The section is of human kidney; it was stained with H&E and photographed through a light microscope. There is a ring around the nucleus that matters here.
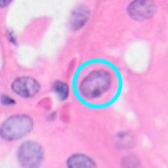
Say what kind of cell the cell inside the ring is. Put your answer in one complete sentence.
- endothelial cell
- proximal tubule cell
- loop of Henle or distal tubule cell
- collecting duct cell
At the level of cell identity, the cell inside the ring is a proximal tubule cell.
